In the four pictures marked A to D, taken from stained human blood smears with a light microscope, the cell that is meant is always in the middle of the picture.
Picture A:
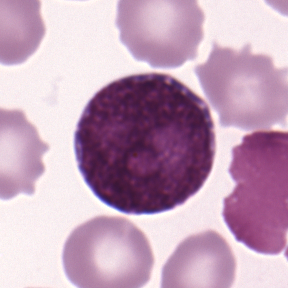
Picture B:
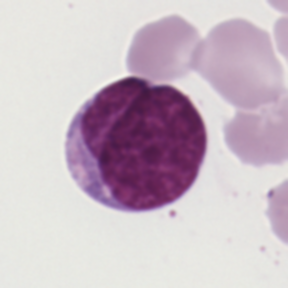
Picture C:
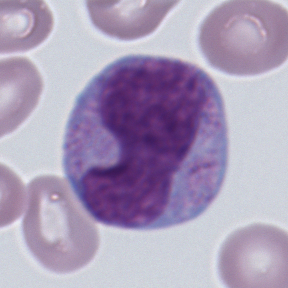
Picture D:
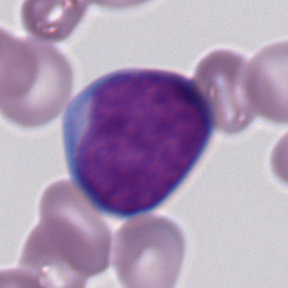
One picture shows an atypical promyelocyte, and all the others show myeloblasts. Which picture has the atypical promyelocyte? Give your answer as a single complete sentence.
Picture C is the one that shows the atypical promyelocyte.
